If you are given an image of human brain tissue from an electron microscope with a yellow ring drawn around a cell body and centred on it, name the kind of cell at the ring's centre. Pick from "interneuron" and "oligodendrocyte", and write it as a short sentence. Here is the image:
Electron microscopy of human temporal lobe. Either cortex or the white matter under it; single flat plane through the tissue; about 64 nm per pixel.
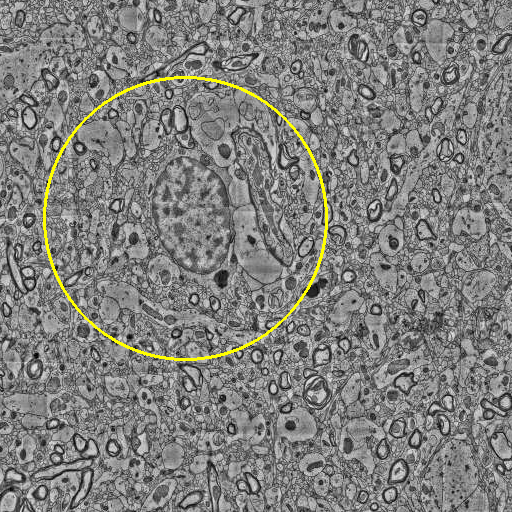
The cell at the ring's centre is an oligodendrocyte.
